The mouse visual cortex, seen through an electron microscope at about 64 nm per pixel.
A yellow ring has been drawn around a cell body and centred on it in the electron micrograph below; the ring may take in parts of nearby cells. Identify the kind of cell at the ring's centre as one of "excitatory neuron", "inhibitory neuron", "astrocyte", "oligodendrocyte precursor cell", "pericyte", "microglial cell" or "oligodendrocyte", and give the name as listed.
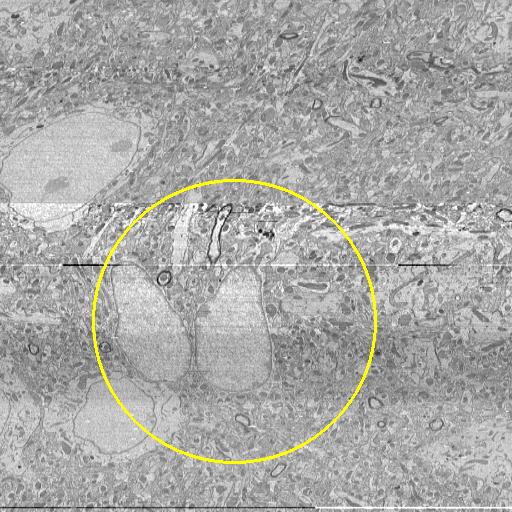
astrocyte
